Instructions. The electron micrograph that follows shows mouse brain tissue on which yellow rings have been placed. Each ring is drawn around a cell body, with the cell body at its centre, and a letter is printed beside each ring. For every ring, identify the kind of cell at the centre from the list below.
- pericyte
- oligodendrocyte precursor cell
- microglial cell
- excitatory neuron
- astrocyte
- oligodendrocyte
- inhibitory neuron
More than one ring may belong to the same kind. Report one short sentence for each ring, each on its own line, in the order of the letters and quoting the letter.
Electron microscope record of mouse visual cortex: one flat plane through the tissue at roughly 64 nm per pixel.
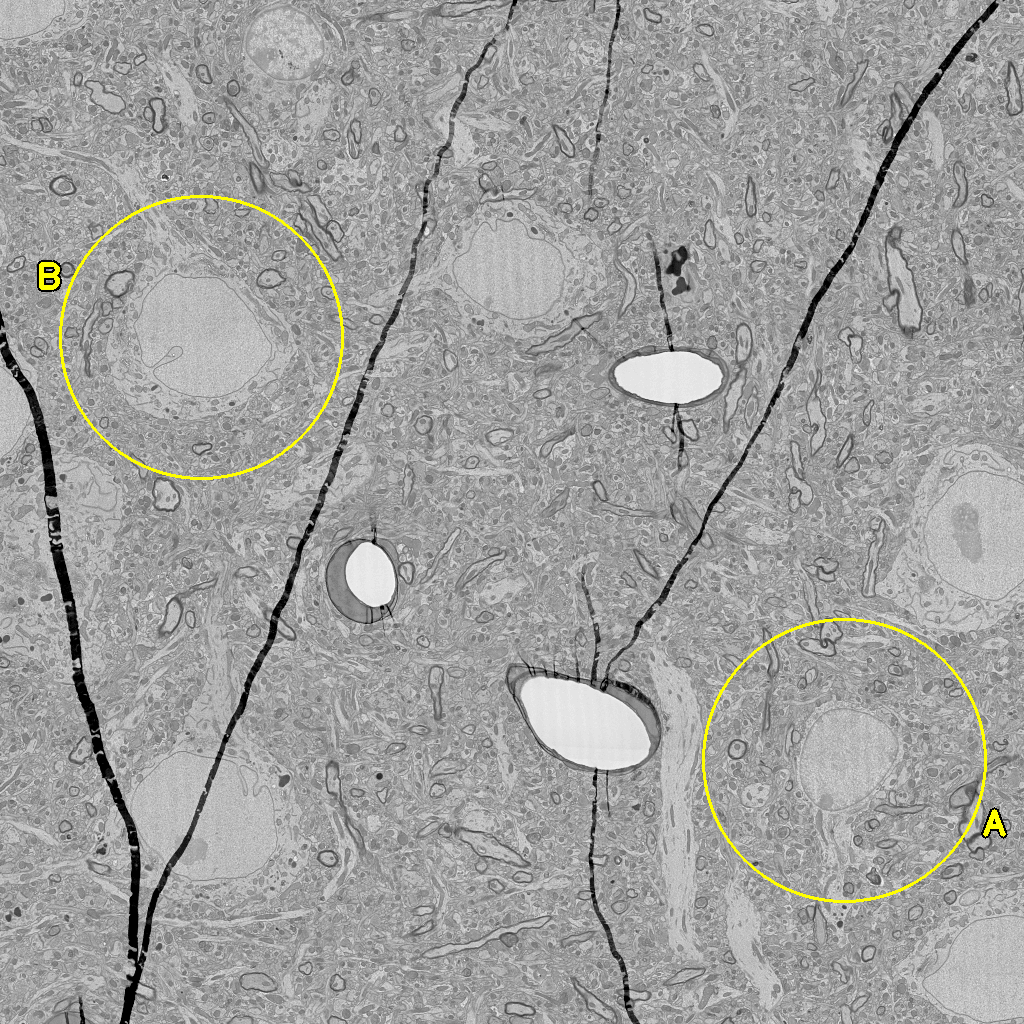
The centre of ring A is occupied by an astrocyte.
The centre of ring B is occupied by an excitatory neuron.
